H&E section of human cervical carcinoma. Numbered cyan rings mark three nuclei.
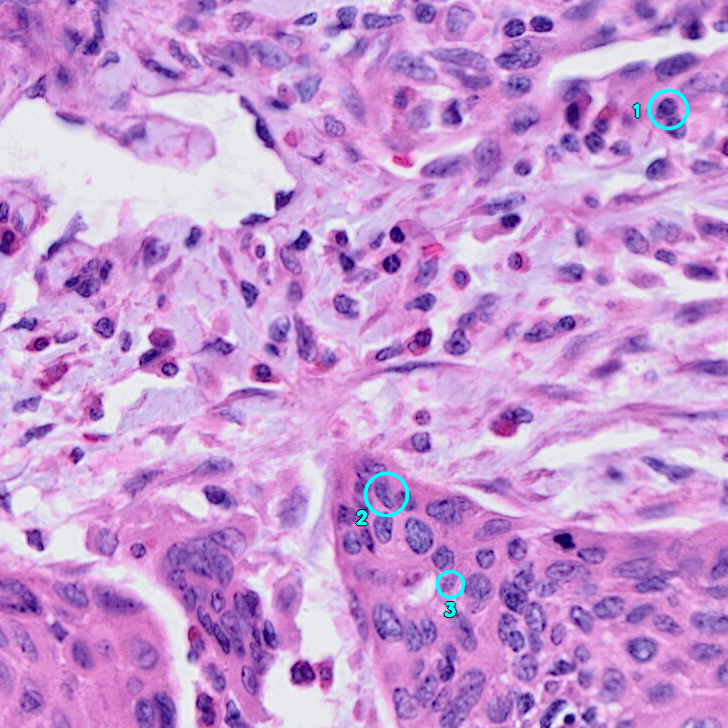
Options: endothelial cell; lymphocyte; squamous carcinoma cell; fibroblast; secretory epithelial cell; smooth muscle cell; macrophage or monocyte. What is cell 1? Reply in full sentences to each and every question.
The cell indicated with the number 1 is classed as a lymphocyte.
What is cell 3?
The cell bearing label 3 corresponds to a squamous carcinoma cell.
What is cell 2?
The cell to which the number 2 is assigned is a squamous carcinoma cell.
